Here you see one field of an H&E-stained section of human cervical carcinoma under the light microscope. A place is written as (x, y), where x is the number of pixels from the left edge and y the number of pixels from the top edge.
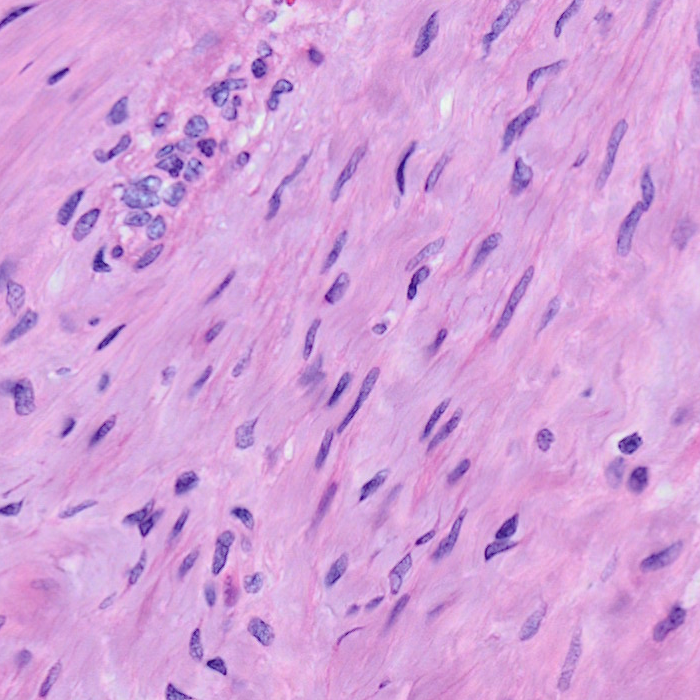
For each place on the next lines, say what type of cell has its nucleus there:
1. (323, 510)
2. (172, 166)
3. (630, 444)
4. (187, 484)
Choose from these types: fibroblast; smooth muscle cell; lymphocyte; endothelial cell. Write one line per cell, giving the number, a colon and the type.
1: smooth muscle cell
2: endothelial cell
3: lymphocyte
4: fibroblast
